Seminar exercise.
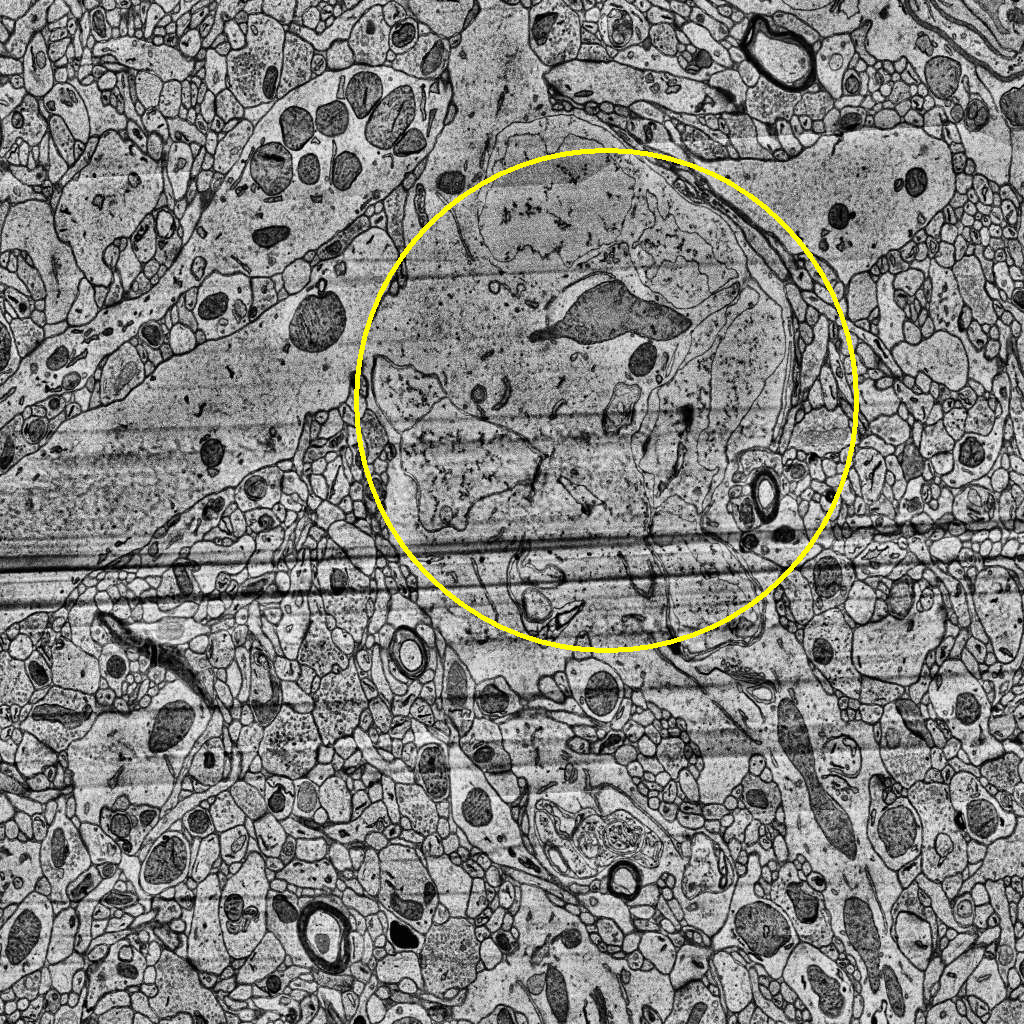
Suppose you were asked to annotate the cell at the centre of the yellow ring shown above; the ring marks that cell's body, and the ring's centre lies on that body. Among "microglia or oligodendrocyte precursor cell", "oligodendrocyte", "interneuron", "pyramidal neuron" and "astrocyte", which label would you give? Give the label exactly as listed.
astrocyte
